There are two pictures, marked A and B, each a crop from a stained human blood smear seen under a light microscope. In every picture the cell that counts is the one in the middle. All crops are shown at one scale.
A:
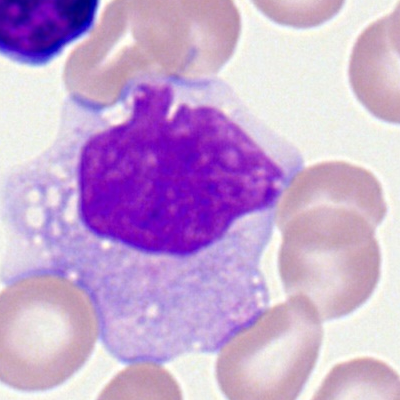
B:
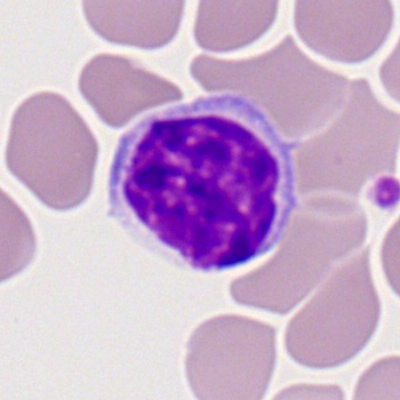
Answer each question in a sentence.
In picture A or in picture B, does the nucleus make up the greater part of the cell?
It is the cell in picture B that is filled more by its nucleus.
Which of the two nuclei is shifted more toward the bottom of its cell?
It is the nucleus in picture B that lies further toward the bottom of its cell.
